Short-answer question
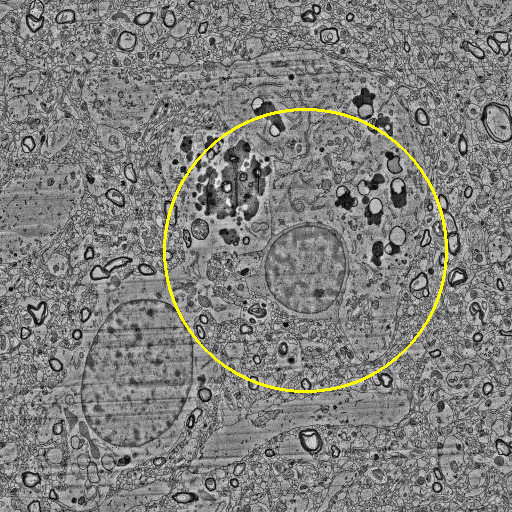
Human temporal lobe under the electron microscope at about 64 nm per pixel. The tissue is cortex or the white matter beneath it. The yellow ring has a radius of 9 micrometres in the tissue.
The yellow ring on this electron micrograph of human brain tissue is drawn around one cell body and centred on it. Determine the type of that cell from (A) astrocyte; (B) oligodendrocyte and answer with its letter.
B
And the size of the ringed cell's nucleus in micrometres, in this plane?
In this plane, roughly 5 micrometres across.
